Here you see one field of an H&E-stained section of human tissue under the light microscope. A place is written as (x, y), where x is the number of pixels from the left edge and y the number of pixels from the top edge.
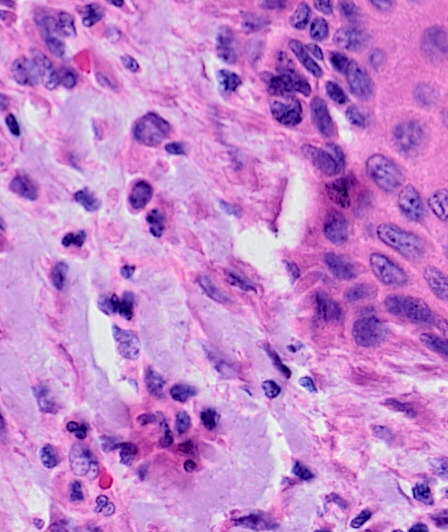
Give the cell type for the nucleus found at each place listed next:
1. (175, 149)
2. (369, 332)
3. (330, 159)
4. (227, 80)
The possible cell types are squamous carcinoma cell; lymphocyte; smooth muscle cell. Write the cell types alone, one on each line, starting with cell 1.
lymphocyte
squamous carcinoma cell
squamous carcinoma cell
lymphocyte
